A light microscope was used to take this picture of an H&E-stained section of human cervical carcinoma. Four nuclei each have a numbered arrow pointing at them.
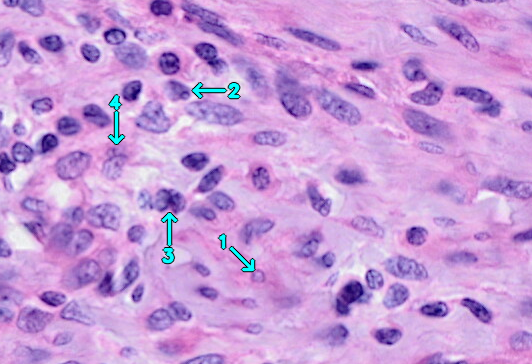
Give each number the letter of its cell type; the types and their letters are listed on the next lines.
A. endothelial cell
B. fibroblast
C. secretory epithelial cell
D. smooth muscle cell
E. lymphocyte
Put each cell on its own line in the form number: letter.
1: D
2: E
3: E
4: A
